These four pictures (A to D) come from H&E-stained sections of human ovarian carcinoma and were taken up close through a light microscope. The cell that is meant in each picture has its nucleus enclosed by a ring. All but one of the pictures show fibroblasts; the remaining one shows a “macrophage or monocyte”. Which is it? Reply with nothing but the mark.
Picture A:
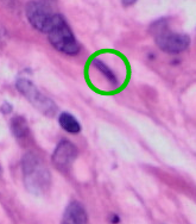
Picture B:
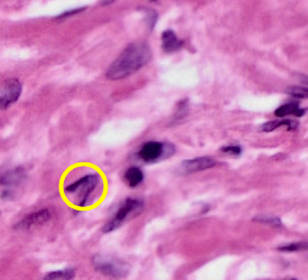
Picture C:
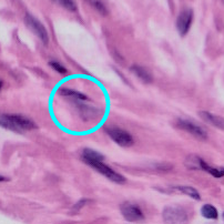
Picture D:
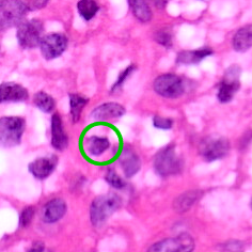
D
